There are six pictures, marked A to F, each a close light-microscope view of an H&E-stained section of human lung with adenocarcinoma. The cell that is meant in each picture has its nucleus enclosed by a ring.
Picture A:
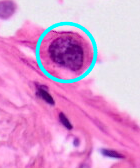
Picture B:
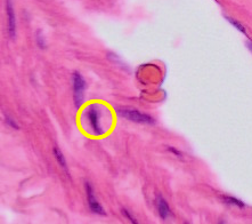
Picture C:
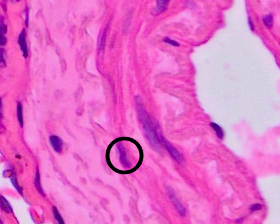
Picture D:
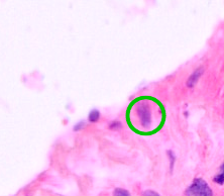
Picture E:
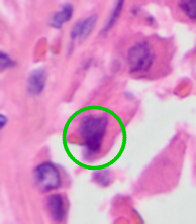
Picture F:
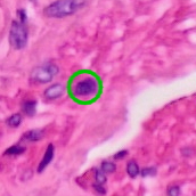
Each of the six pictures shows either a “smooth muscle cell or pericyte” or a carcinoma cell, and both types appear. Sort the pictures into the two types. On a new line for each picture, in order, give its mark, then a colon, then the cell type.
A: carcinoma cell
B: smooth muscle cell or pericyte
C: smooth muscle cell or pericyte
D: smooth muscle cell or pericyte
E: carcinoma cell
F: smooth muscle cell or pericyte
